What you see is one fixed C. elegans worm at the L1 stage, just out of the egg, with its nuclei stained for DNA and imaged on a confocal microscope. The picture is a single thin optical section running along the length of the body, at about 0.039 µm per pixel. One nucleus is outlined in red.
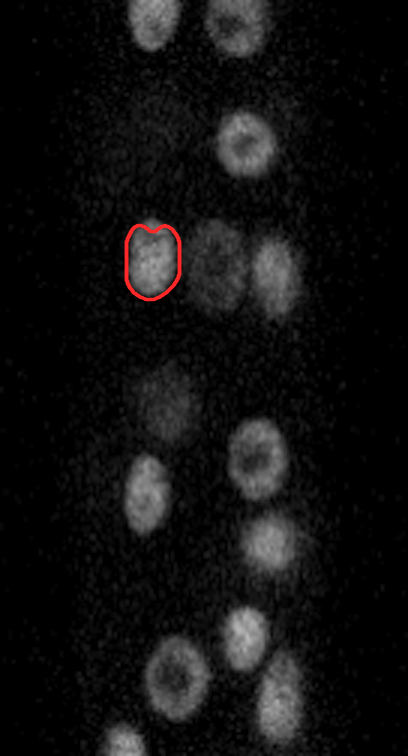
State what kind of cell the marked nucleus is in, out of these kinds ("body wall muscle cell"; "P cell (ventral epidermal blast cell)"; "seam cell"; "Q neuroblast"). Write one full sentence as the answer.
This nucleus is from a body wall muscle cell.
